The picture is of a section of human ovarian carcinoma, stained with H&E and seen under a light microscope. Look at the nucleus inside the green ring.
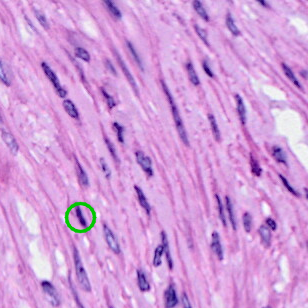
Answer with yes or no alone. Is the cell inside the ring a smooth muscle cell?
no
